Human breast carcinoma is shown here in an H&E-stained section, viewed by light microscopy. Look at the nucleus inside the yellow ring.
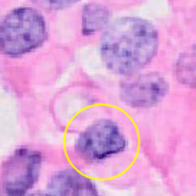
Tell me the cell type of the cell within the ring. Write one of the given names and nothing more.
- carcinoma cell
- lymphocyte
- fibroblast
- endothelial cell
carcinoma cell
